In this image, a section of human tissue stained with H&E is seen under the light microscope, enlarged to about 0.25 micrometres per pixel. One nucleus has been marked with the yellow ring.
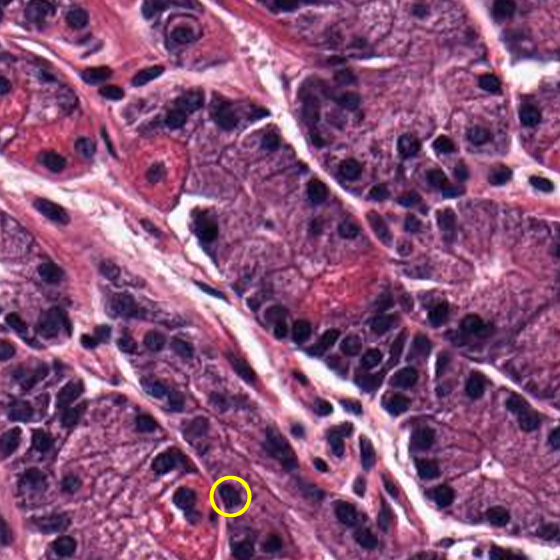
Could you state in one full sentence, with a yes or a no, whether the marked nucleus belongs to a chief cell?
Yes, the marked nucleus is in a chief cell.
